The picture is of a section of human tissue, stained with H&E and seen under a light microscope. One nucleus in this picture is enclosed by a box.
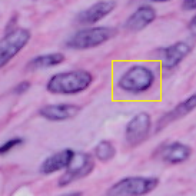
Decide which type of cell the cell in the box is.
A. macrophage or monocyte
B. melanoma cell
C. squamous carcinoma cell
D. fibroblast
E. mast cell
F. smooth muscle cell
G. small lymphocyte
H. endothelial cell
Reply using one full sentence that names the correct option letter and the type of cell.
Option F is right, and the cell in the box is a smooth muscle cell.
